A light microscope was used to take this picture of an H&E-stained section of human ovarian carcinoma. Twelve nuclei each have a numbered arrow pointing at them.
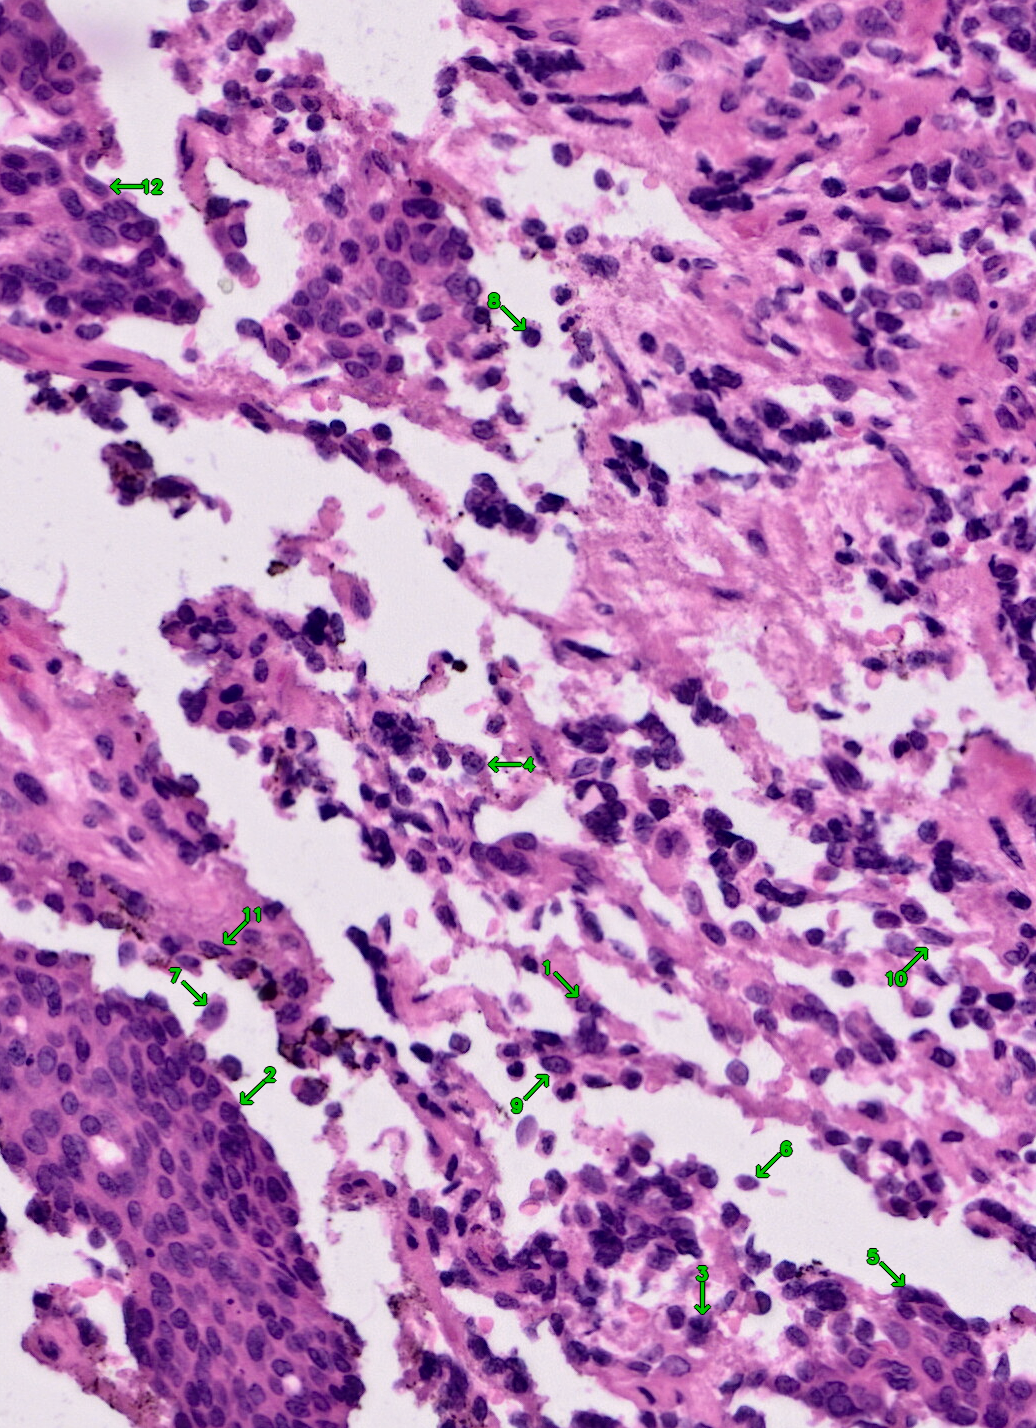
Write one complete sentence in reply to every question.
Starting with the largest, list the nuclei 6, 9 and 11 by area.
Largest first, the order by area is 9, 11, 6.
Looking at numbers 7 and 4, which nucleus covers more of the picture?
It is nucleus 7, which covers about 1.5 times the area of nucleus 4.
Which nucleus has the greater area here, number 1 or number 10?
Of the two, number 10 is bigger and takes up about 1.5 times the area of number 1.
